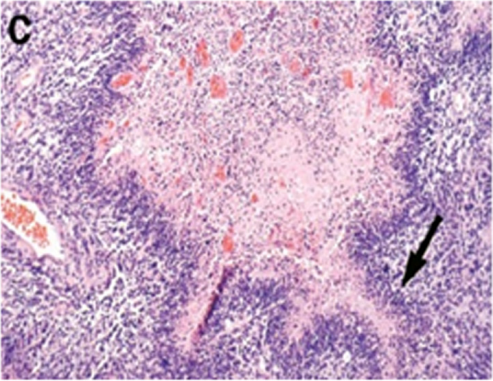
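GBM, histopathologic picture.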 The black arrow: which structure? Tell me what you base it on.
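Outpouchings of pseudopalisades. The pale pink central zone contains scattered red blood cell collections.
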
